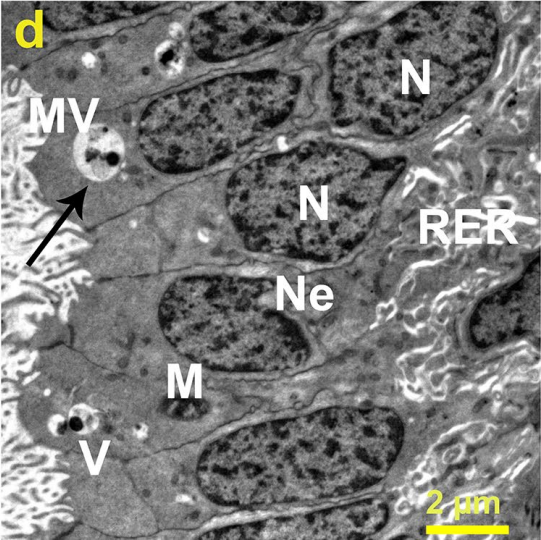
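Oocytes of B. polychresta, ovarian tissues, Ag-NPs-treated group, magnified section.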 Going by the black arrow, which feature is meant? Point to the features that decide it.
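Electron dense particles. The arrow tip touches a round pale vesicle near the microvillar border. Small very dark granules lie inside that pale vesicle.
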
